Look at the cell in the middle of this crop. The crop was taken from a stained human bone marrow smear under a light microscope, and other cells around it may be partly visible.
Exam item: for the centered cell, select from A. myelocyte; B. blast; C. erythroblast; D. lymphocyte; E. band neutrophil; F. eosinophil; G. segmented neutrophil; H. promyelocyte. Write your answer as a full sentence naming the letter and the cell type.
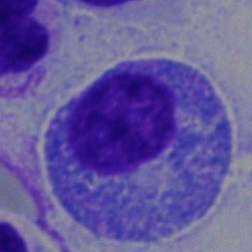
It is a promyelocyte that occupies the centre of the crop, so option H is correct.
